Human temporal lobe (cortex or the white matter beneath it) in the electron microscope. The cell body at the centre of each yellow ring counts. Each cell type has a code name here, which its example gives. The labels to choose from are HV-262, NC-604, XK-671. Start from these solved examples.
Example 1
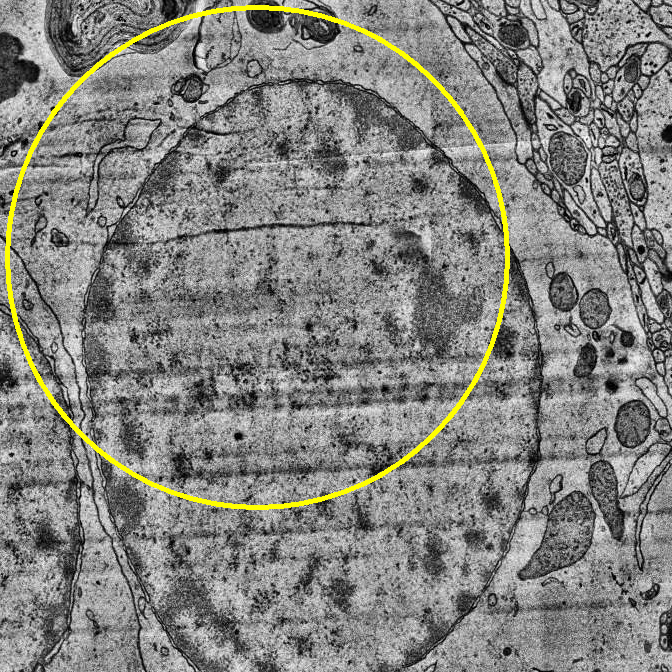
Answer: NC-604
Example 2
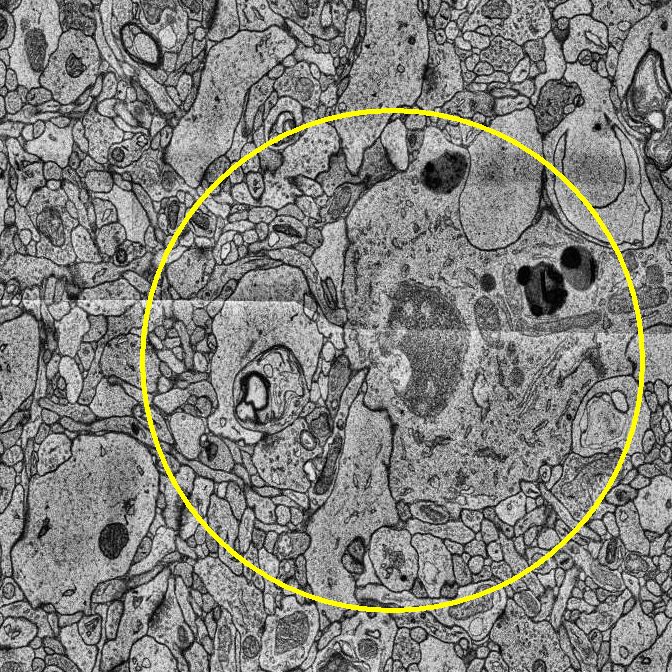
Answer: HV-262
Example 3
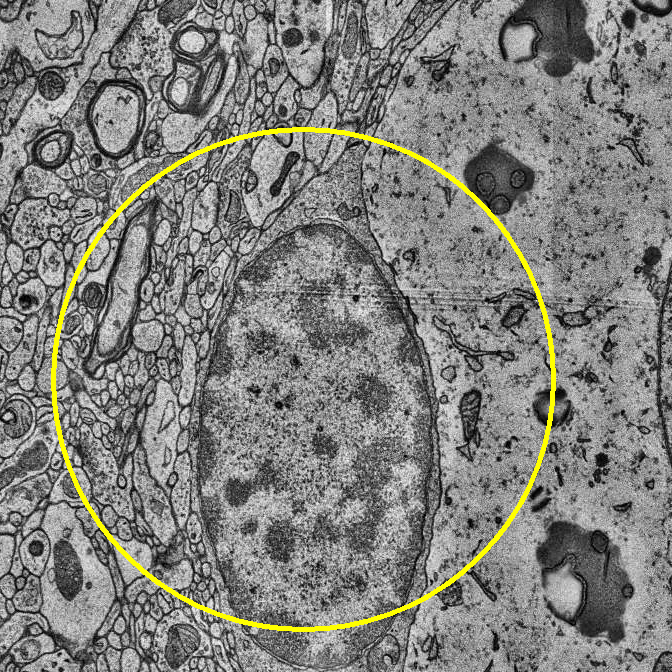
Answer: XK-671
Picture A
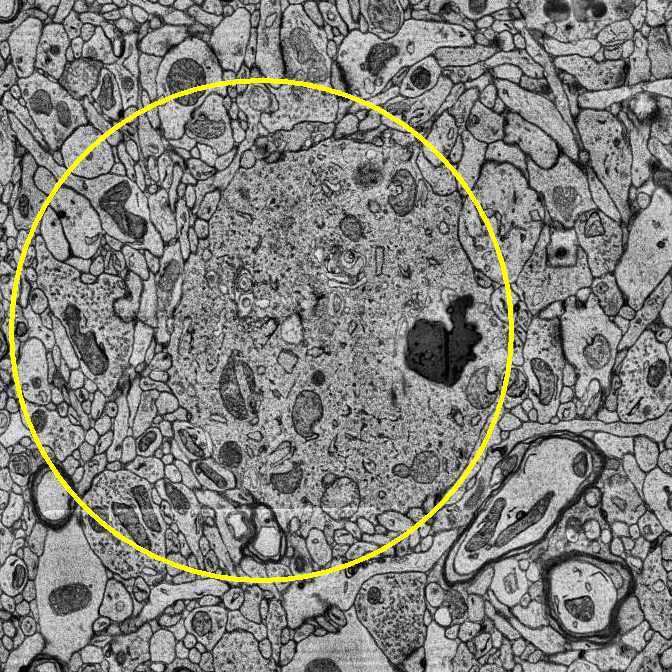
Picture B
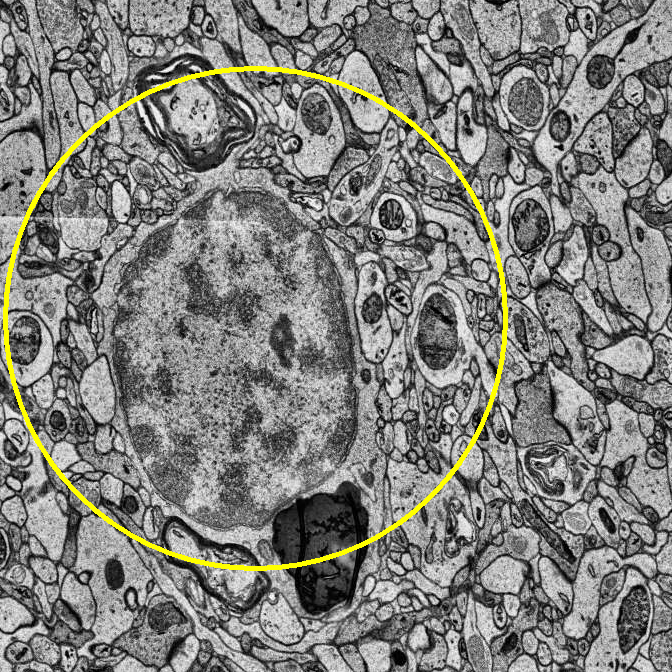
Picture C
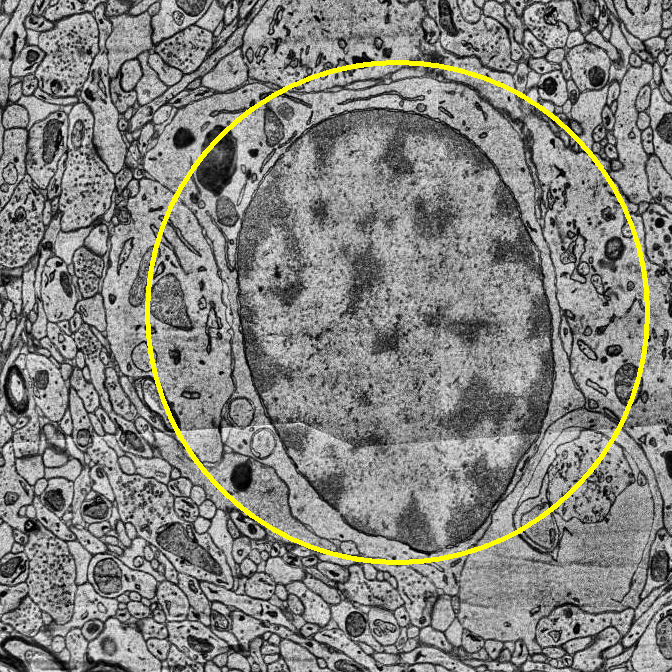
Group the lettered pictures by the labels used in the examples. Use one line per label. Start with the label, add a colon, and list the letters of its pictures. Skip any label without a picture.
HV-262: C
XK-671: A, B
